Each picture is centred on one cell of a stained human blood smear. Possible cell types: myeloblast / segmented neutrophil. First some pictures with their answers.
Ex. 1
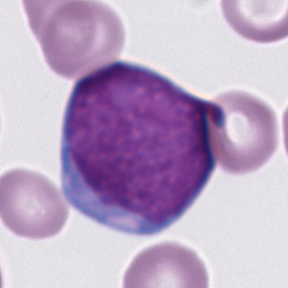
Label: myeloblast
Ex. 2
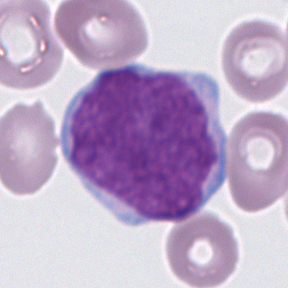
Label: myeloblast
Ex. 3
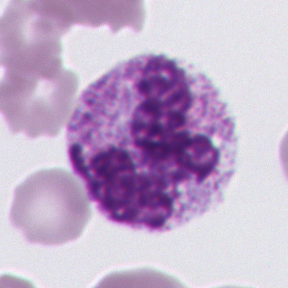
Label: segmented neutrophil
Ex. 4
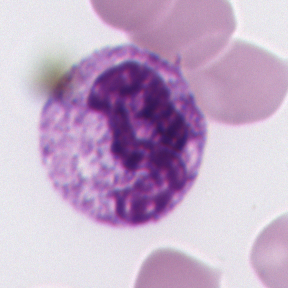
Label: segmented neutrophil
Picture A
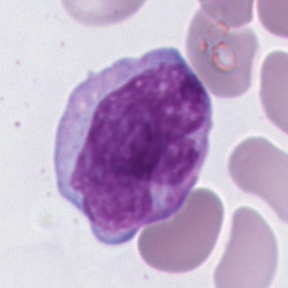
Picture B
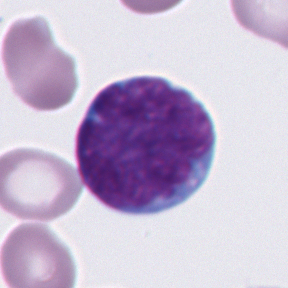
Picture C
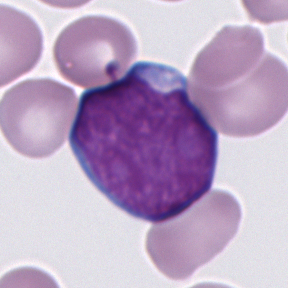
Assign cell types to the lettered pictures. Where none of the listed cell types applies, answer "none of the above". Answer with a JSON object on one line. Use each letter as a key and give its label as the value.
{"A": "none of the above", "B": "myeloblast", "C": "myeloblast"}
